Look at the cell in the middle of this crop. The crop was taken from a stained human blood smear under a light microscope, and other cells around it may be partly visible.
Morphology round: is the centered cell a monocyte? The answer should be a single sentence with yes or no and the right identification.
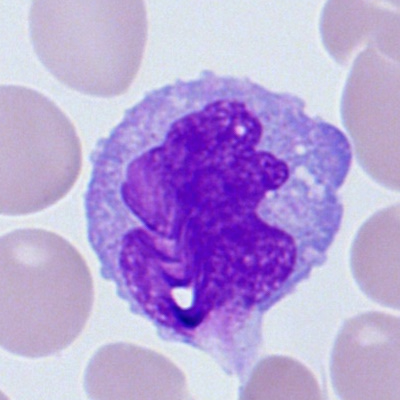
Yes, the middle cell in this crop is a monocyte.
